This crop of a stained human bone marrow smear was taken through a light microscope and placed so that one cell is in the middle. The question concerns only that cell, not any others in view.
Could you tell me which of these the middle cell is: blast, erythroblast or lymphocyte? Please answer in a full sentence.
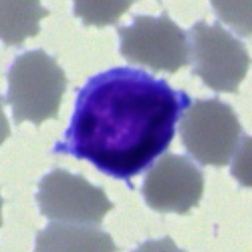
The crop shows a lymphocyte in its centre.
